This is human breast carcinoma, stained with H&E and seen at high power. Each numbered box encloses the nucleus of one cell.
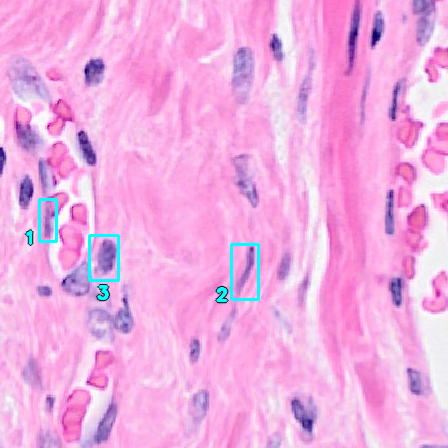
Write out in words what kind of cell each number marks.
Cell 1 is an endothelial cell, cell 2 is a fibroblast and cell 3 is an endothelial cell.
